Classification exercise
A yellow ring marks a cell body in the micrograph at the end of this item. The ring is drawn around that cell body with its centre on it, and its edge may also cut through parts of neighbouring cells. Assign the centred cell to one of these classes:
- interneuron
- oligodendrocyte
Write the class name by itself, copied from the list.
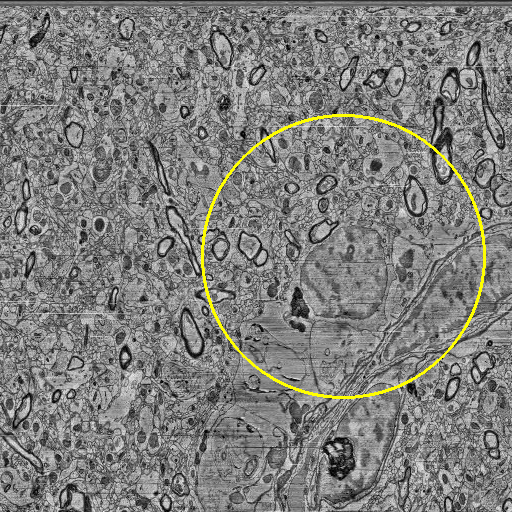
oligodendrocyte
